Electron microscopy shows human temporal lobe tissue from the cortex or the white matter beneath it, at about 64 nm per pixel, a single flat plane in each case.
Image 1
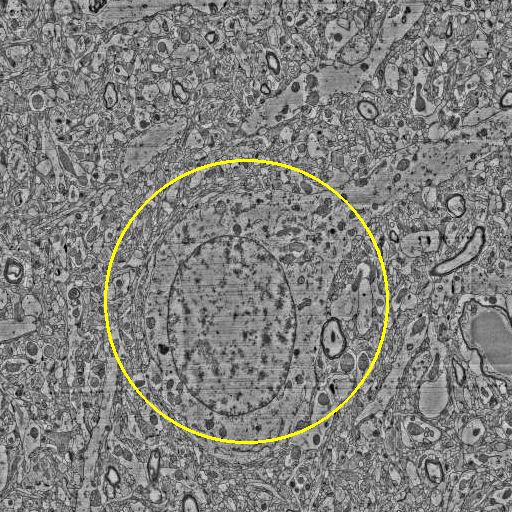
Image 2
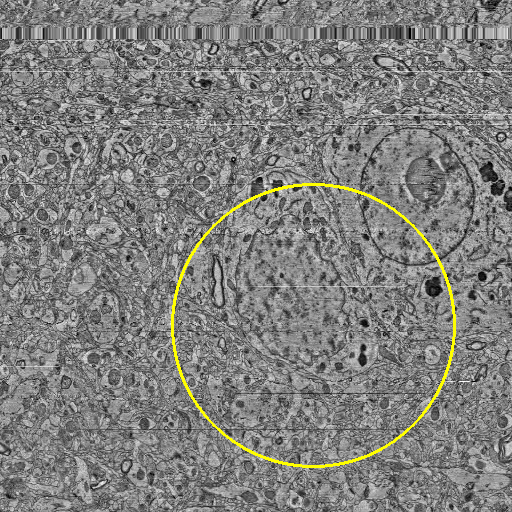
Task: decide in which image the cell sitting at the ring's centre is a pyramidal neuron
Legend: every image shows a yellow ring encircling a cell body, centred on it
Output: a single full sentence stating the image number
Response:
In image 1, the cell at the middle of the ring is the match.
